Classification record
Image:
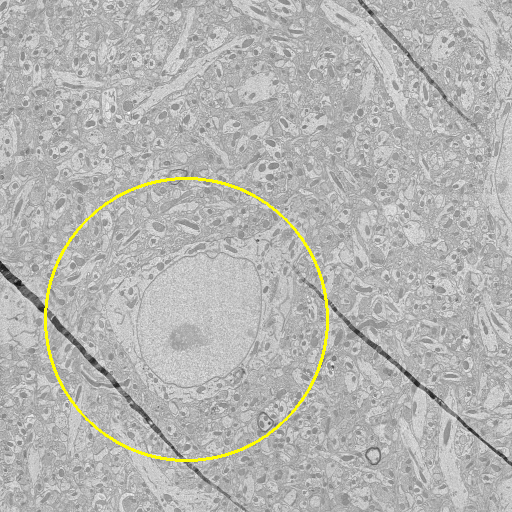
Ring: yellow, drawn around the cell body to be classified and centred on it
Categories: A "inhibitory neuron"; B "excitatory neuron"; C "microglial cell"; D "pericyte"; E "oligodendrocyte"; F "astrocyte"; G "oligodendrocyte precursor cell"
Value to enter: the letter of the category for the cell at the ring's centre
B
